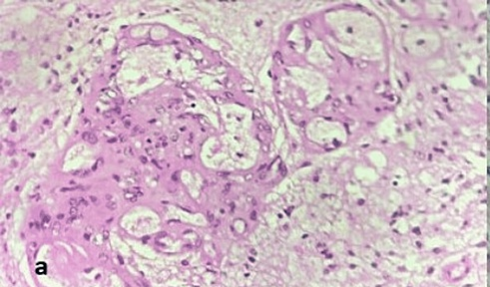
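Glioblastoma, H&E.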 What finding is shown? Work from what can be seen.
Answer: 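Rounded tufts of crowded cells with small lumens form ball-like vascular structures. The tufts are set within a pale, loosely textured fibrillary background. The answer: glomeruloid microvascular proliferation.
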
